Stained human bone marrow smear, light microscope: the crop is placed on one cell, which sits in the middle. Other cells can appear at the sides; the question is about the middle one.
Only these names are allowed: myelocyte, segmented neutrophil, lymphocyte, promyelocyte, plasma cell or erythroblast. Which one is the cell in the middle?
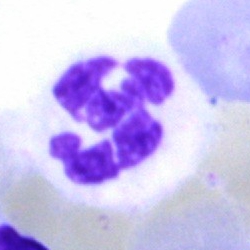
segmented neutrophil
